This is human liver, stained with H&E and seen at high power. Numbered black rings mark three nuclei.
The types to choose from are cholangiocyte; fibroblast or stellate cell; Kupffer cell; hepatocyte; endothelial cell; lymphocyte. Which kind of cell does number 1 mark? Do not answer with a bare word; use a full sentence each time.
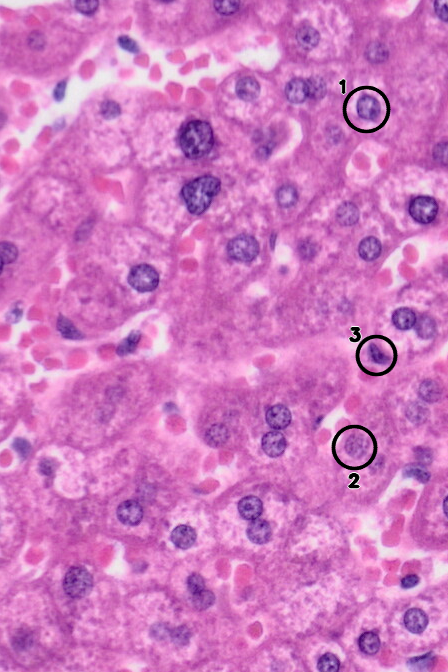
Cell 1 in the field of view is a hepatocyte.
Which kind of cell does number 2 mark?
Among the marked cells, number 2 is a hepatocyte.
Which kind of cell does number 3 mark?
In the tissue shown, cell 3 is an endothelial cell.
